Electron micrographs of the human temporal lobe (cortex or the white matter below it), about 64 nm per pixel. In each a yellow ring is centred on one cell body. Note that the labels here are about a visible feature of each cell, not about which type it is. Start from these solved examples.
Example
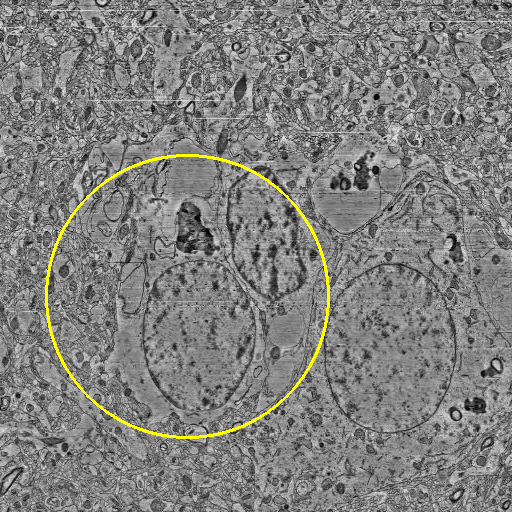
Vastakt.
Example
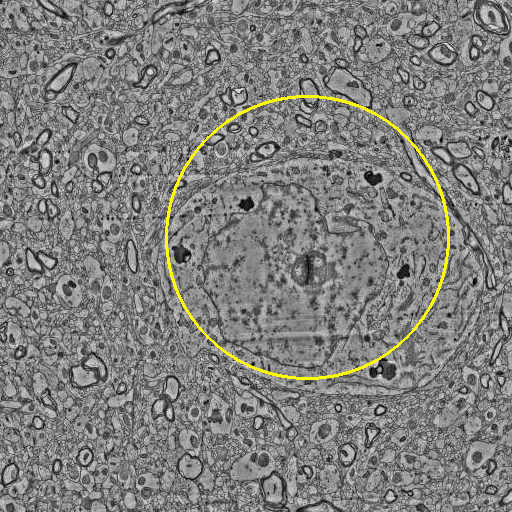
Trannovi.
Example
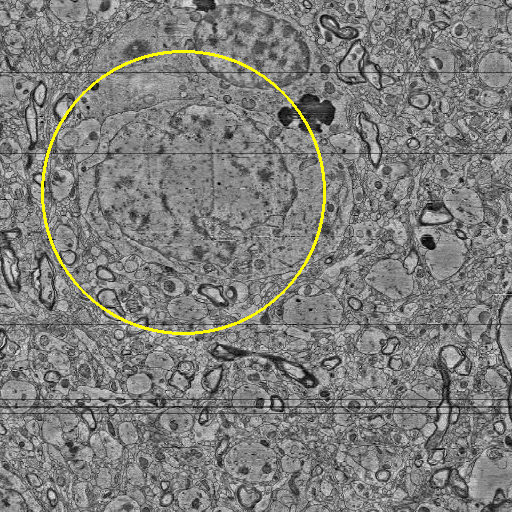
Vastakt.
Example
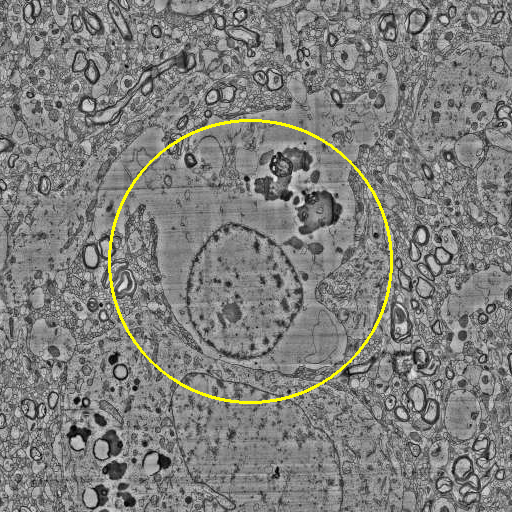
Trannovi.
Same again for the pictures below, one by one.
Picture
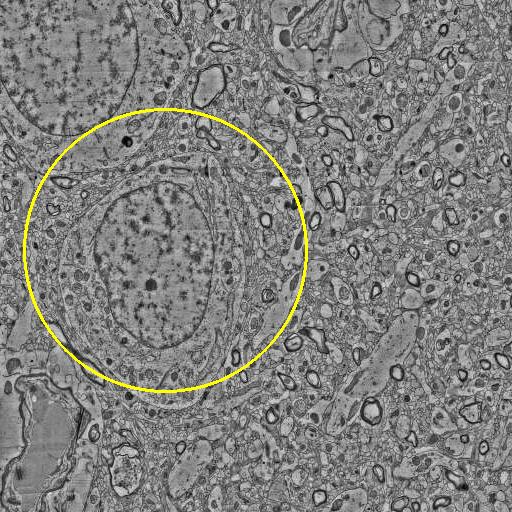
Trannovi.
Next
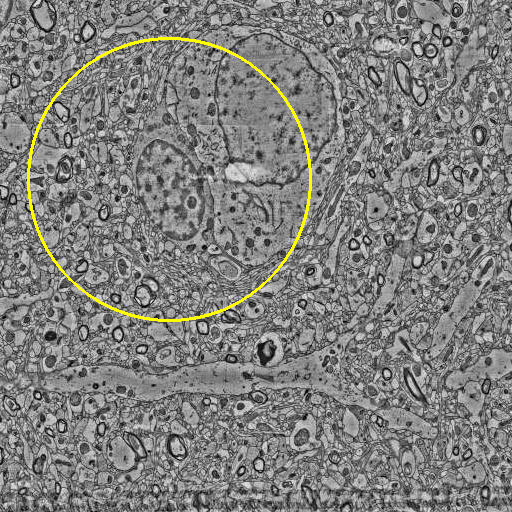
Trannovi.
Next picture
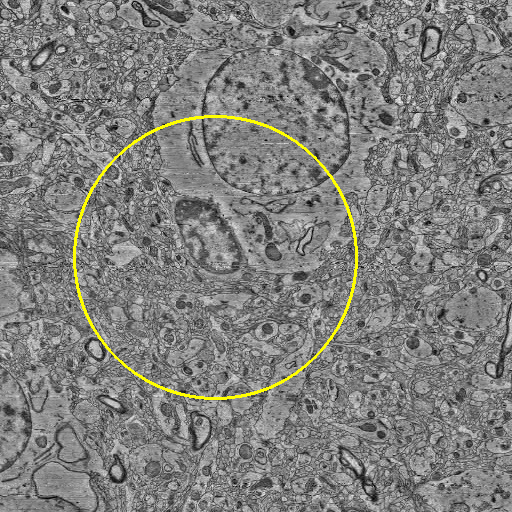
Vastakt.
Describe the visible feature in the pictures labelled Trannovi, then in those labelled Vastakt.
Trannovi: nucleolus seen; Vastakt: no nucleolus seen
